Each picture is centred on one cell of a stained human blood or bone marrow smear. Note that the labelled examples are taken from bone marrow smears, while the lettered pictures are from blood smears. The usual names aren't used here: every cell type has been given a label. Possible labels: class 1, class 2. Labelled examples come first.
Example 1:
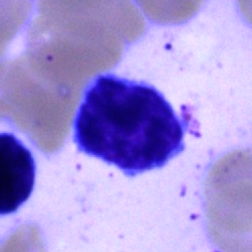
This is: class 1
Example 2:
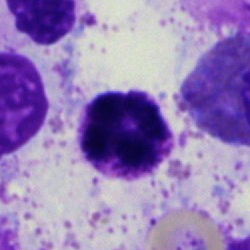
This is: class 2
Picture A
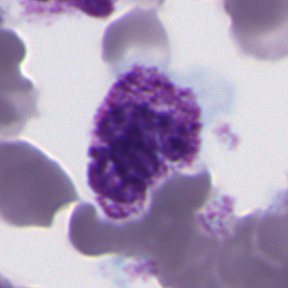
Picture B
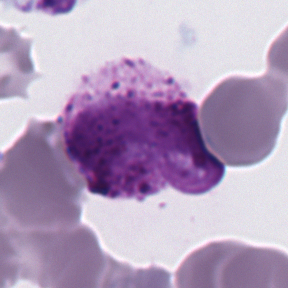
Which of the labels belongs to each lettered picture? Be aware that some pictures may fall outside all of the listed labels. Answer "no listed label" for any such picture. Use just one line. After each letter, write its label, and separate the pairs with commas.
A class 2, B class 2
